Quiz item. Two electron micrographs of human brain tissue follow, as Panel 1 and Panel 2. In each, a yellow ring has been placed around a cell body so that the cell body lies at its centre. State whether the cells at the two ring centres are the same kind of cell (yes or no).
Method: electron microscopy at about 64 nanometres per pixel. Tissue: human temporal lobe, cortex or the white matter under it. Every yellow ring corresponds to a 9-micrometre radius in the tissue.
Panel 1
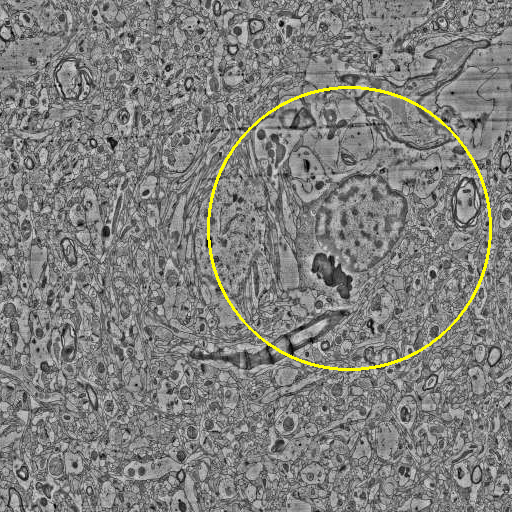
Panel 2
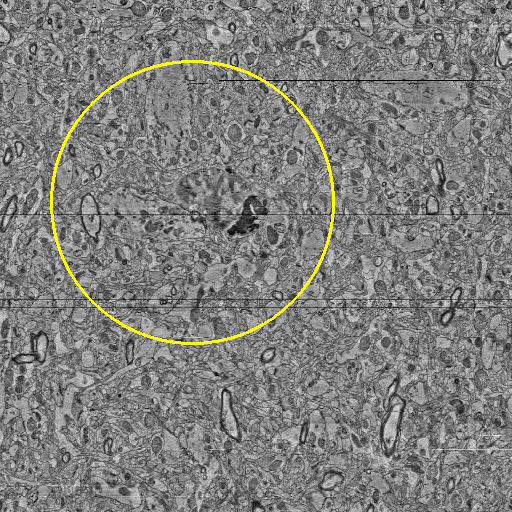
yes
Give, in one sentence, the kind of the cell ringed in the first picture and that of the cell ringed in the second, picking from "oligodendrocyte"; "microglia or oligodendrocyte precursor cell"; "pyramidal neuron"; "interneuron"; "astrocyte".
Each one of the two ringed cells is an oligodendrocyte.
